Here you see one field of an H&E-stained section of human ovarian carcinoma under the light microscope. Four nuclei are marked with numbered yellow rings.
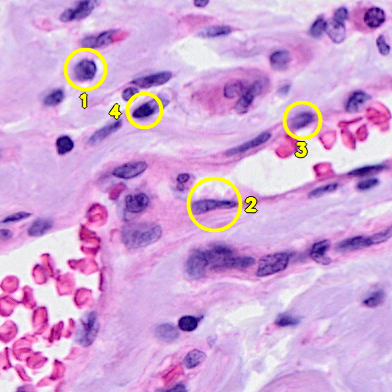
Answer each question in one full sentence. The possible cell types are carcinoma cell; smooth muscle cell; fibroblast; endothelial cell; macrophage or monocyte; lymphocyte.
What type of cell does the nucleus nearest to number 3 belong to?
Closest to number 3 lies the nucleus of a lymphocyte.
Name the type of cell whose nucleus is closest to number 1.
The cell nearest to number 1 is an endothelial cell.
